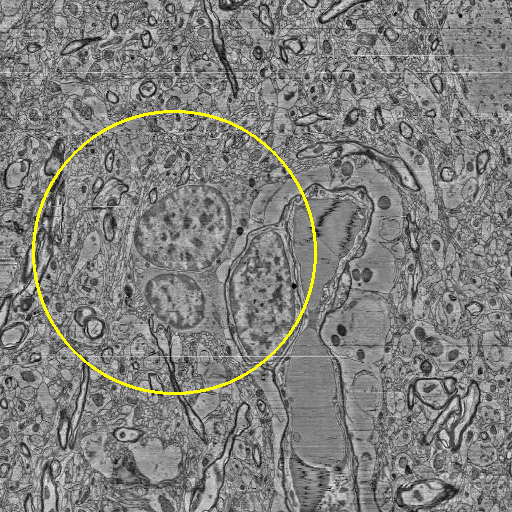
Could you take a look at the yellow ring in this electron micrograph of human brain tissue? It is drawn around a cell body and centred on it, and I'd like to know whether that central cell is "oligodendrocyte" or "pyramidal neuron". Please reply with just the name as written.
oligodendrocyte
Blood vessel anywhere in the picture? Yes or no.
Yes, there is one.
